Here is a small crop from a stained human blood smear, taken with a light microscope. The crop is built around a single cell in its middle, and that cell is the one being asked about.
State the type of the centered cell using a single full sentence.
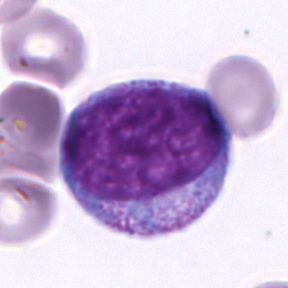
The central cell shown in this smear crop is a promyelocyte.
